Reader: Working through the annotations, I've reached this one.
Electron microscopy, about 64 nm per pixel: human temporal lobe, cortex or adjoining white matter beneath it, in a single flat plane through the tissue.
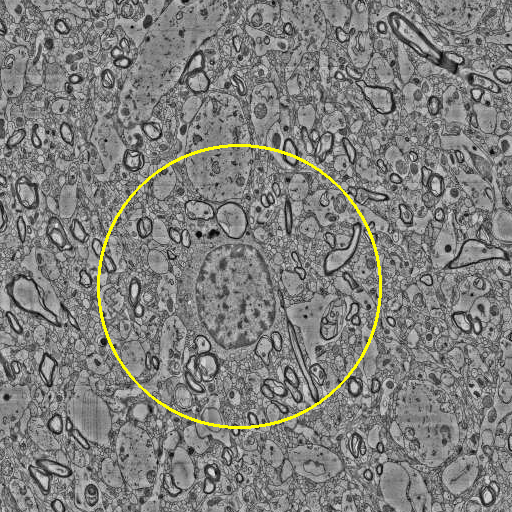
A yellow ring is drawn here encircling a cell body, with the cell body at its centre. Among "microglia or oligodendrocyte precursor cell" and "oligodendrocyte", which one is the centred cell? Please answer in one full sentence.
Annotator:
The cell body at the centre of the yellow ring in this image belongs to an oligodendrocyte.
